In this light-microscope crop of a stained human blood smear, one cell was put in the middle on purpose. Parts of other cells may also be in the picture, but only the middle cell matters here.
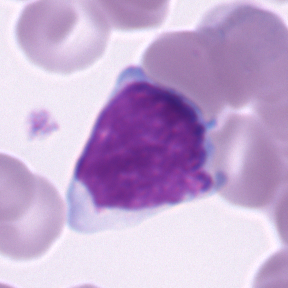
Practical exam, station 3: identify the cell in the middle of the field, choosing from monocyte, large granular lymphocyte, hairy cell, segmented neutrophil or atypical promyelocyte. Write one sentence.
This crop is built around a large granular lymphocyte at its centre.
